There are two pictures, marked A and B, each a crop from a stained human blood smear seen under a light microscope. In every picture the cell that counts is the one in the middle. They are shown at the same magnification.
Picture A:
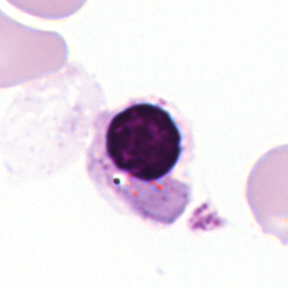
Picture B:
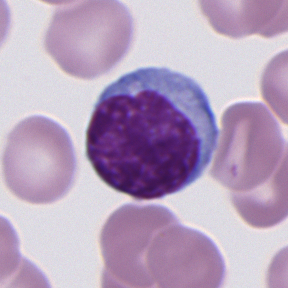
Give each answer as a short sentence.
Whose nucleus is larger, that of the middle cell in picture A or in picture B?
It is the nucleus in picture B, about 2 times as large in area as the one in picture A.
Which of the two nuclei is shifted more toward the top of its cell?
The nucleus in picture A lies further toward the top of its cell.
